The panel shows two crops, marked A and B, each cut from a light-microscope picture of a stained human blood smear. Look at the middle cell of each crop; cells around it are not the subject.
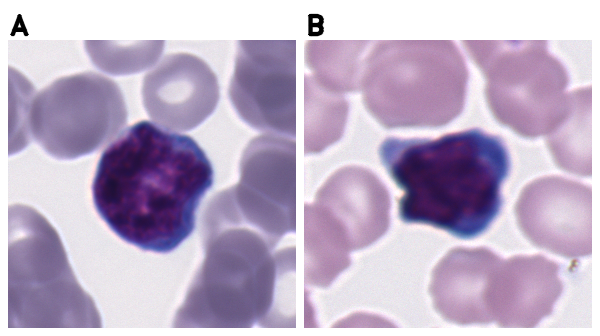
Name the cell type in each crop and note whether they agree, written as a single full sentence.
Yes, both of the crops show typical lymphocytes.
